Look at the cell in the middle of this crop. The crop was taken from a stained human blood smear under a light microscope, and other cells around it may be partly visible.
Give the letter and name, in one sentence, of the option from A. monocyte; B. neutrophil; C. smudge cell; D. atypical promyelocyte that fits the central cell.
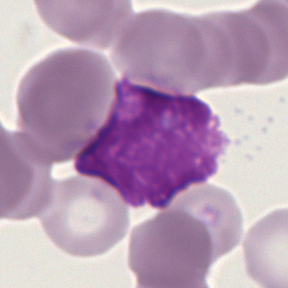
Option C stands as correct, the central cell being a smudge cell.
